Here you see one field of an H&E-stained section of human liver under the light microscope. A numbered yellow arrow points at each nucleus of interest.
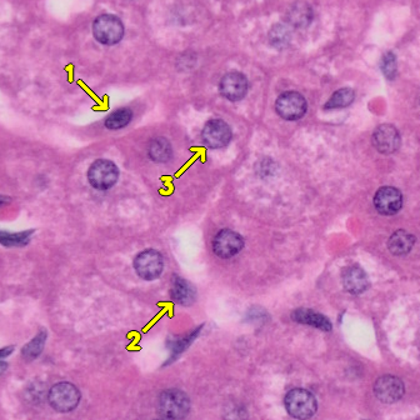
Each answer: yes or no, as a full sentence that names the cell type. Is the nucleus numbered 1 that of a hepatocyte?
No, it is a Kupffer cell that is marked with number 1, not a hepatocyte.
